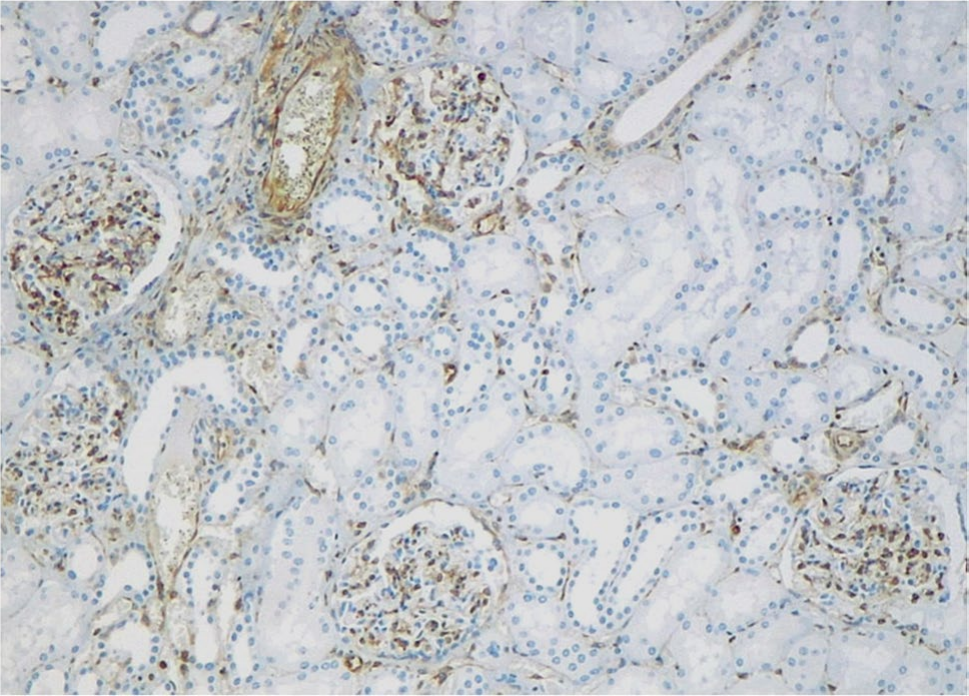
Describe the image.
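This is kidney cortex: numerous round and elongated tubules lined by a single layer of cuboidal epithelial cells with small round blue nuclei and pale, unstained cytoplasm fill most of the field. Several glomeruli stand out as rounded capillary tufts within clear capsular spaces, densely packed with cells and speckled heavily brown. At the upper left an elongated blood vessel has a brown-stained thick wall around a lumen with pale contents. Between the tubules, thin spindle-shaped interstitial cells and small capillaries also take up brown stain, while the tubular epithelium stays blue, giving a pattern of brown confined to vascular and stromal elements.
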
